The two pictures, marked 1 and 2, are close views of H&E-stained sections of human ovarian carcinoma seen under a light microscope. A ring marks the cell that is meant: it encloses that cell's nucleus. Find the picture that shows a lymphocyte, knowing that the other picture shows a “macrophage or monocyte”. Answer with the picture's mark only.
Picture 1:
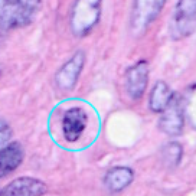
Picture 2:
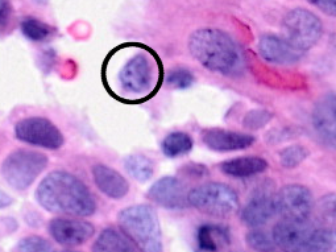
1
